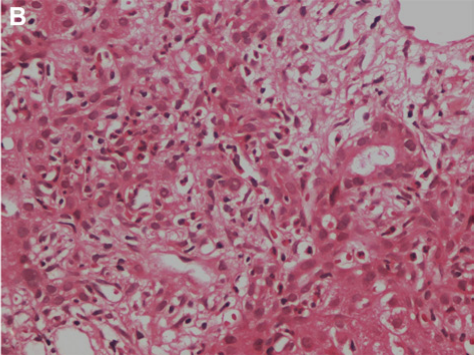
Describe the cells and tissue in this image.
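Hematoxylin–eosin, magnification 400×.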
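This is liver at the junction of a portal tract and parenchyma, heavily infiltrated by a mixed population of inflammatory cells. Numerous small cells with dark, irregular or lobed nuclei and scant cytoplasm are scattered densely through a loose, pale pink stroma. Among them lie larger polygonal hepatocytes with abundant pink, granular cytoplasm and round nuclei, more crowded toward the lower right. A small duct-like profile lined by cuboidal cells is visible on the right, and a pale empty lumen touches the upper right corner. The inflammatory cells spill between hepatocytes, blurring the border between portal tissue and parenchyma.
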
